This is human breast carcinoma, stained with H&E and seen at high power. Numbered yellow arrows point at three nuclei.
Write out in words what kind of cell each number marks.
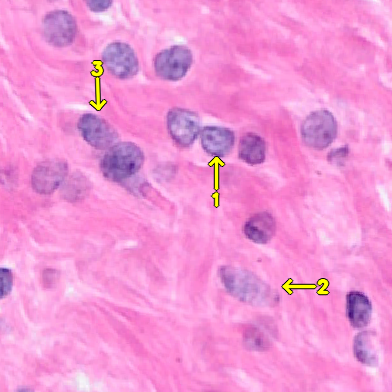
Cell 1 is a carcinoma cell, cell 2 is a fibroblast and cell 3 is a carcinoma cell.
